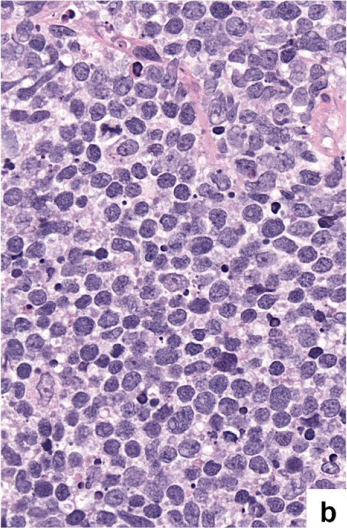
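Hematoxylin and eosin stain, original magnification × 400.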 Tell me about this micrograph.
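The cells are medium-sized with round to oval nuclei whose chromatin is fine and evenly spread, giving a blastoid look. Nucleoli are small and hard to see, and each nucleus is surrounded by only a thin, pale rim of cytoplasm. A few thin pink strands of stroma and small vessels run between the cells.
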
